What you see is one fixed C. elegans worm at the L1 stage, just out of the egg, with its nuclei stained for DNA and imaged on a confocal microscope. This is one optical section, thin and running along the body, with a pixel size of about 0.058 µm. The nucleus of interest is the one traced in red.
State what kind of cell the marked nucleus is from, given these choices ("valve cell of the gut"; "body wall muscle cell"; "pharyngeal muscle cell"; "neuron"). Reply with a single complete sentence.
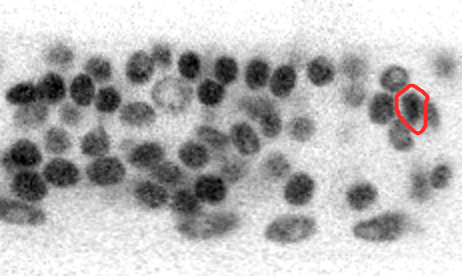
The marked cell is a valve cell of the gut.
